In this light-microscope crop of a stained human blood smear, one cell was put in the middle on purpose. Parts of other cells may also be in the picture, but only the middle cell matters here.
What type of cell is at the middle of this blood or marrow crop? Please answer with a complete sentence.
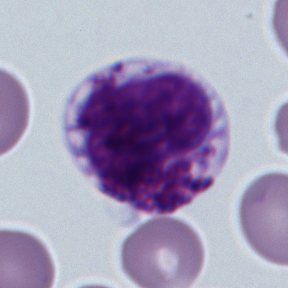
At the middle of the frame sits a basophil.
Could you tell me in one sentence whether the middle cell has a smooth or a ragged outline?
If you check the edge, you will find it smooth without projections.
